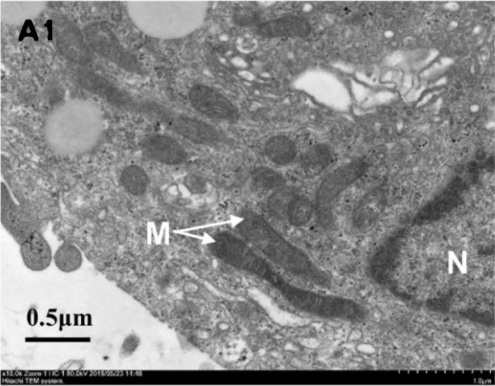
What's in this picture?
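The nucleus shows a clear envelope with darker chromatin along its rim. The mitochondria in the cytoplasm are oval to elongated, with a fairly dense matrix and visible cristae. Scattered among them are round, homogeneous grey droplets. Toward the top some pale, dilated membrane-bound spaces are seen, while the rest of the cytoplasm is finely granular.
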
